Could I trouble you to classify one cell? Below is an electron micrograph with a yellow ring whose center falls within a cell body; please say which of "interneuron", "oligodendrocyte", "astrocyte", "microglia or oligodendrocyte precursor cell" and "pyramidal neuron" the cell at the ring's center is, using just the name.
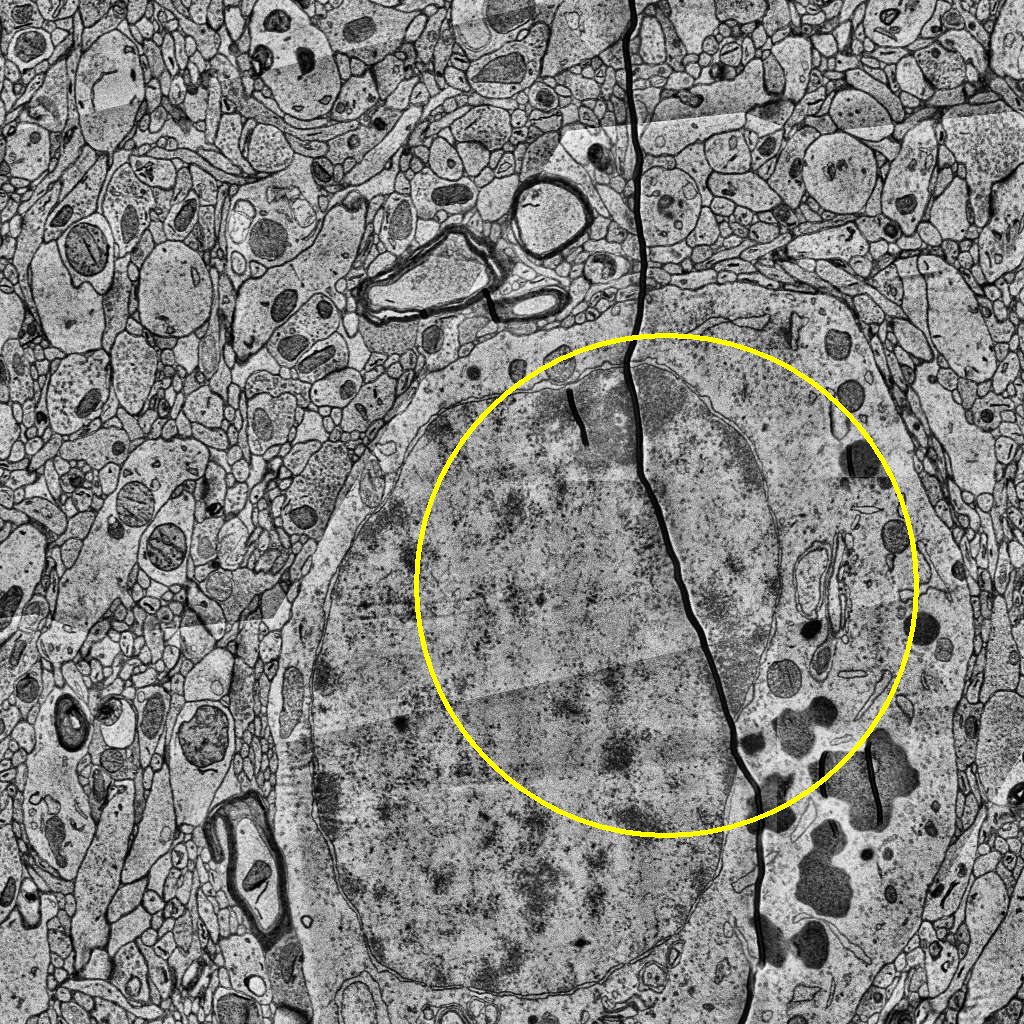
interneuron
